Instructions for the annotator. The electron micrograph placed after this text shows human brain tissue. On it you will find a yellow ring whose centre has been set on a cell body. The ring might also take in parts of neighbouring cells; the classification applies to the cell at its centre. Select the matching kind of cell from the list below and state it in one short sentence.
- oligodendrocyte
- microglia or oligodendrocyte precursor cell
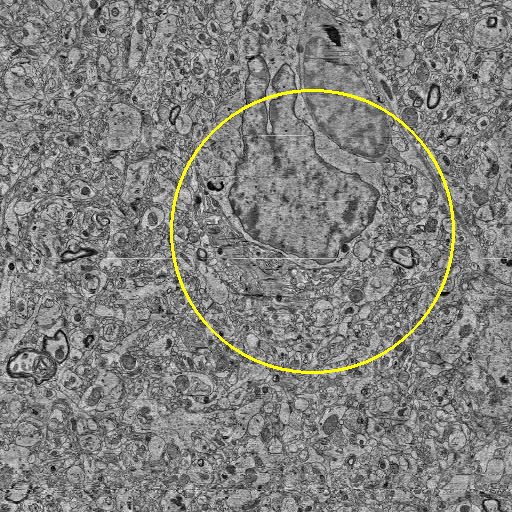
The ring is drawn on the cell body of a microglial cell or oligodendrocyte precursor cell.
